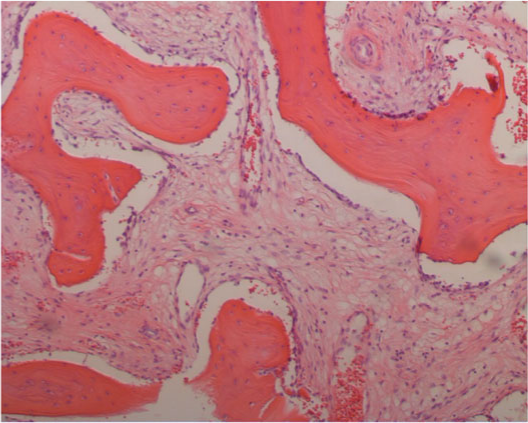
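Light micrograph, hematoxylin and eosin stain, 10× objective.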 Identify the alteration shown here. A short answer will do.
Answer: Fibrosis of the marrow.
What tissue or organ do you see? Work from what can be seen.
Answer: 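Broad, branching bands of homogeneous pink-red matrix cross the field. Small dark nuclei sit in lacunae scattered within the pink bands. That points to this answer: bony trabeculae.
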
